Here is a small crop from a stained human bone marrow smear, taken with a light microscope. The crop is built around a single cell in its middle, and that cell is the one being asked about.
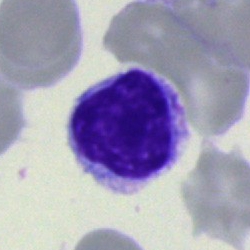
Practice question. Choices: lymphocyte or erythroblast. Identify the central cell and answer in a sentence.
In the central position of this crop, the cell is a lymphocyte.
